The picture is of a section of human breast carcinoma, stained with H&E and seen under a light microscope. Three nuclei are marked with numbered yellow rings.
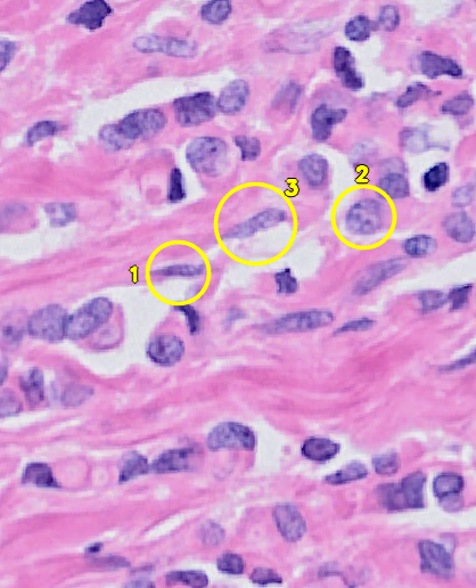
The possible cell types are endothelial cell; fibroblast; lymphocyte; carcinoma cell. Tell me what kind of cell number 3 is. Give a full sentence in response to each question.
The cell indicated with the number 3 is classed as a fibroblast.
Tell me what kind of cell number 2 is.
The cell indicated with the number 2 is classed as a carcinoma cell.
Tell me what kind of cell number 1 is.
In this section, the cell numbered 1 is a fibroblast.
